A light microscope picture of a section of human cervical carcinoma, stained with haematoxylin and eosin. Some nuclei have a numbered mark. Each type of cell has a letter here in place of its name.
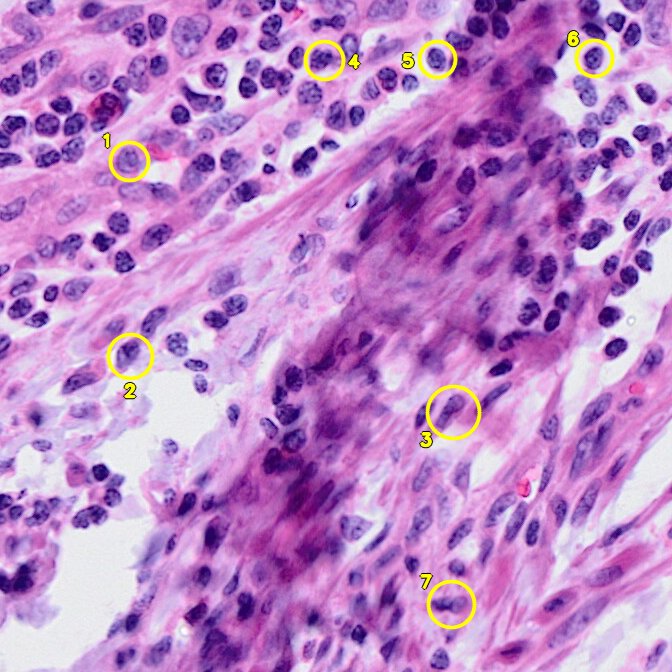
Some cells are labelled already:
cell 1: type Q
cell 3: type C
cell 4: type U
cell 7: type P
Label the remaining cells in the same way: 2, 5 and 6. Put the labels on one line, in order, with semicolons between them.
type U; type U; type U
